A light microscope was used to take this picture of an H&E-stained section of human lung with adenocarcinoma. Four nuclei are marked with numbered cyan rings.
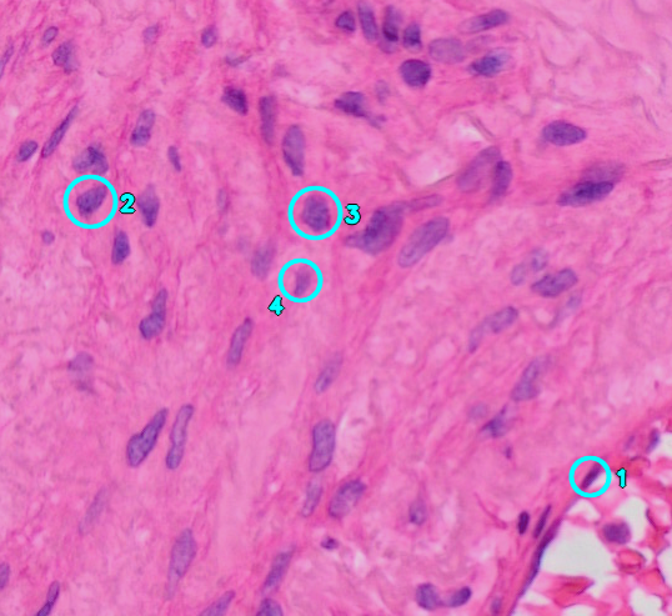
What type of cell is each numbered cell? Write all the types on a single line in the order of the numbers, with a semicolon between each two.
endothelial cell; smooth muscle cell or pericyte; smooth muscle cell or pericyte; smooth muscle cell or pericyte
